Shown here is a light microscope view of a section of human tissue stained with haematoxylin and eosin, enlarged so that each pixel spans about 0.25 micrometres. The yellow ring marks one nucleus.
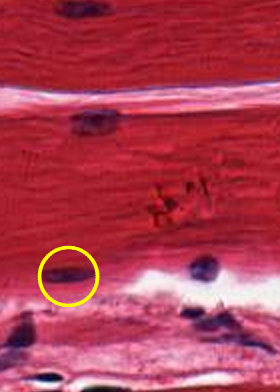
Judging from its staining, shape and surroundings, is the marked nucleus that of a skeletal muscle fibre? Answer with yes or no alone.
yes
